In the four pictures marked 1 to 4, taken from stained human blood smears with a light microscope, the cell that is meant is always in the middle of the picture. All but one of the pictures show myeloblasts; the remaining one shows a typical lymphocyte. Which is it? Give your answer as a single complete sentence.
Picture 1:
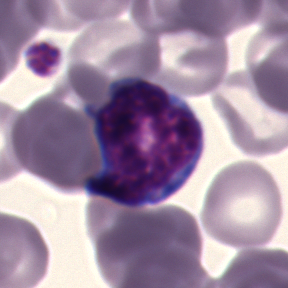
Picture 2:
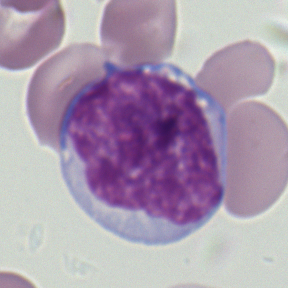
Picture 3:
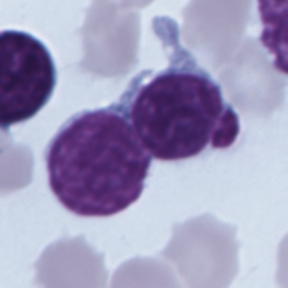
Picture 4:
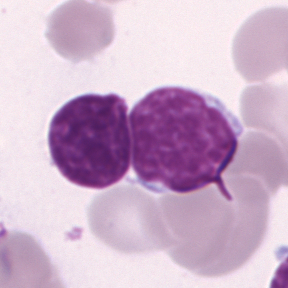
Picture 1 shows the typical lymphocyte.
